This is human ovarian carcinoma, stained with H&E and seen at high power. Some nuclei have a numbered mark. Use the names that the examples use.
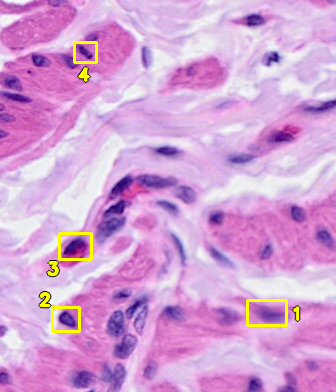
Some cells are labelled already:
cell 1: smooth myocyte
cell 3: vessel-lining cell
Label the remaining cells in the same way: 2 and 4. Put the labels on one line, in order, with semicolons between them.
smooth myocyte; smooth myocyte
